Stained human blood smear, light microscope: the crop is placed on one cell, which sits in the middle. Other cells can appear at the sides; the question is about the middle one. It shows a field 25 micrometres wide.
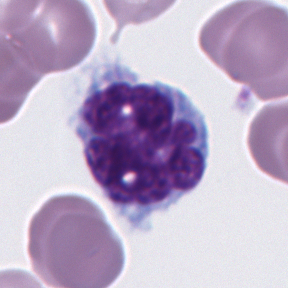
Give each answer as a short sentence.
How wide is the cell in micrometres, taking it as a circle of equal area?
The cell is about 12 micrometres across.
